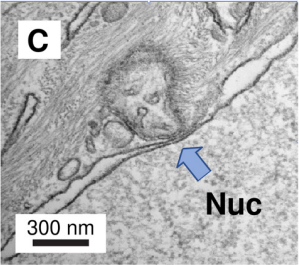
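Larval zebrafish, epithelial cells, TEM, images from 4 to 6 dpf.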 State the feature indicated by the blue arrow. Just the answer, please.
contact site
